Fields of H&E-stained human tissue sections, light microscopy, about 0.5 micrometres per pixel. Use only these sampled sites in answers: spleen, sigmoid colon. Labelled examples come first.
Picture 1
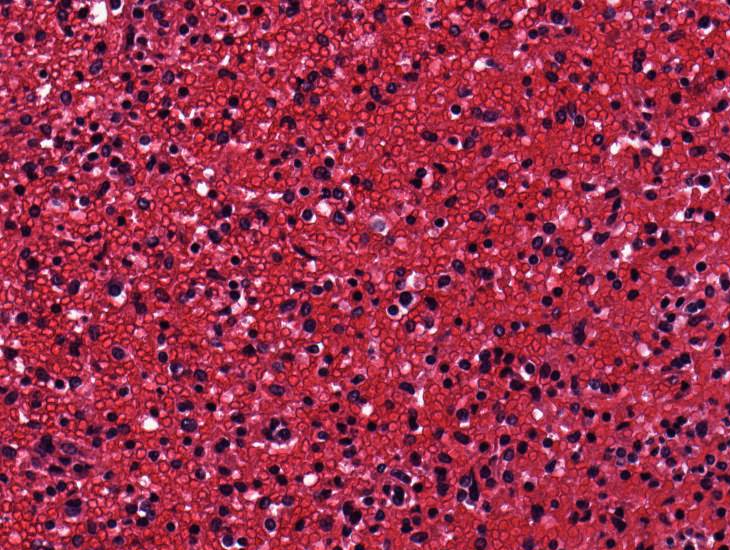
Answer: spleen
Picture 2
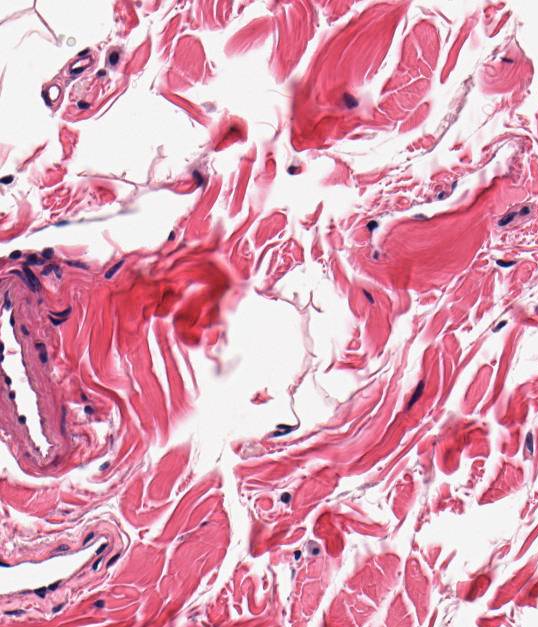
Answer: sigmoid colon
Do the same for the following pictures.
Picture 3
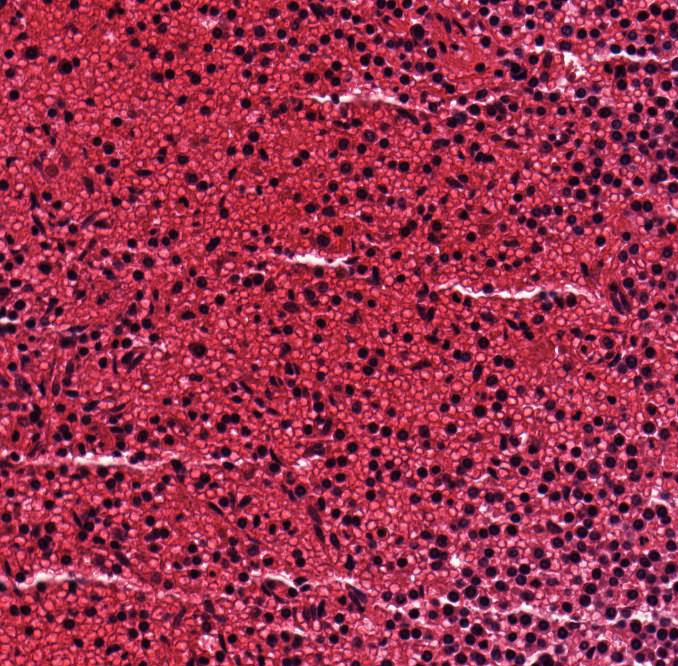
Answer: spleen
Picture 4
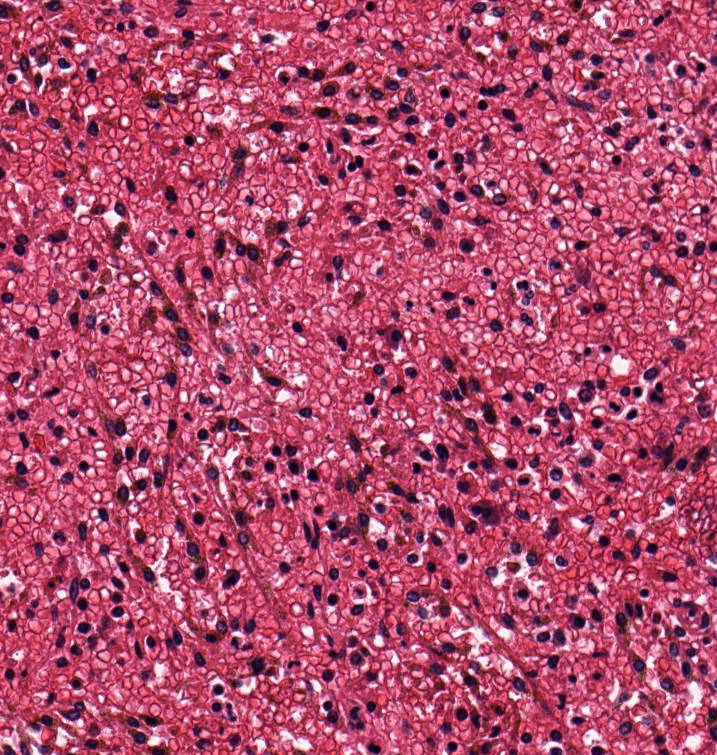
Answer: spleen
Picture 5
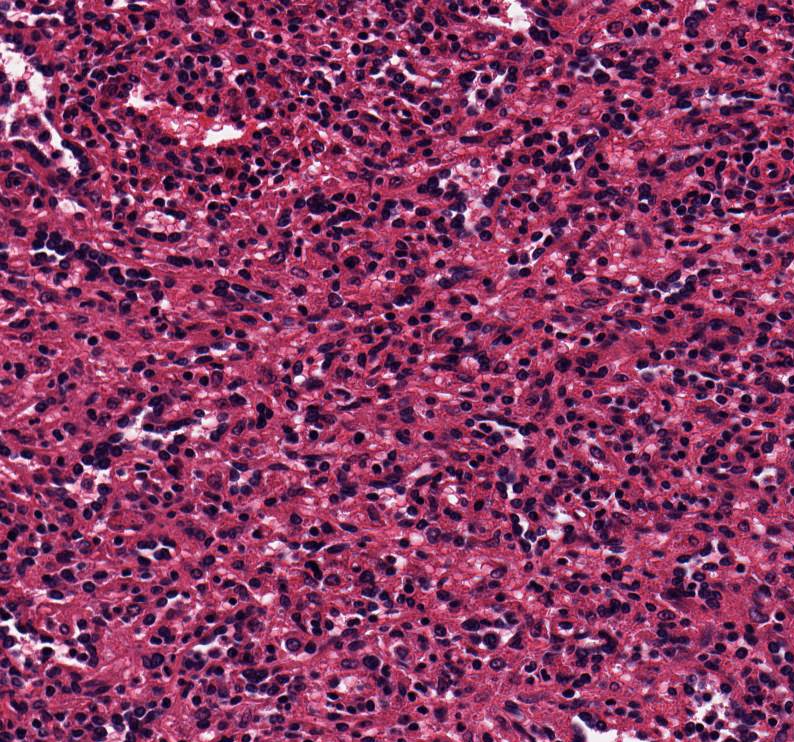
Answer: spleen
